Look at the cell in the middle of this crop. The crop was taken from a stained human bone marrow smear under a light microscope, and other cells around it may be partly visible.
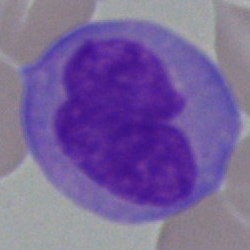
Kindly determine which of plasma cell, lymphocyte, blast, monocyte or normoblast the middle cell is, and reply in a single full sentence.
Centred in the crop is a monocyte.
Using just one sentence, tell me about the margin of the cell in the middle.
From every side, the cell boundary is smooth and free of projections.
